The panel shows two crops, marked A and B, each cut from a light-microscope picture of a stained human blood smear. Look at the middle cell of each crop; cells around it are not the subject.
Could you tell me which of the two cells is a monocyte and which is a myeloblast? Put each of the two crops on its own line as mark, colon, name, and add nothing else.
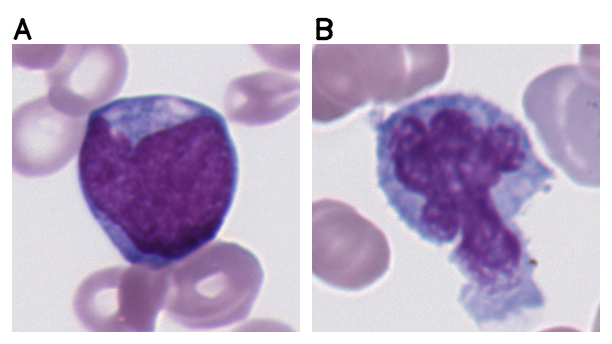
A: myeloblast
B: monocyte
